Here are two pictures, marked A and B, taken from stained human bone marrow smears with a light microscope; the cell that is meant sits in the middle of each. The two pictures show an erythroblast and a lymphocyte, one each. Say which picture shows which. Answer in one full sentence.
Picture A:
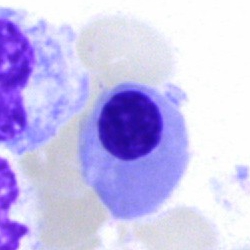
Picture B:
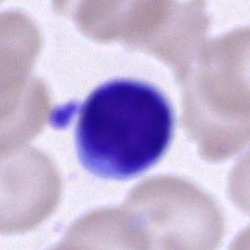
Picture A is of an erythroblast, and picture B is of a lymphocyte.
